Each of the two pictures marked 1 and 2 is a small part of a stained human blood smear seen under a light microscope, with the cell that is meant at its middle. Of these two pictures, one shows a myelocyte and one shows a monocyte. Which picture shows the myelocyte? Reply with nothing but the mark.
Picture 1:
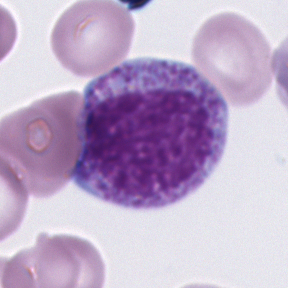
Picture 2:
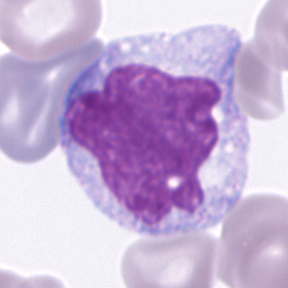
1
